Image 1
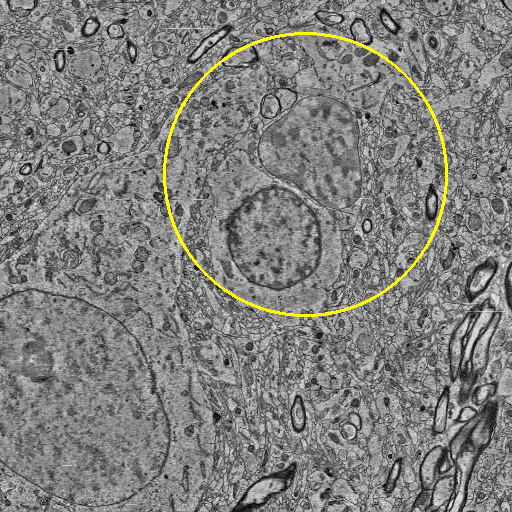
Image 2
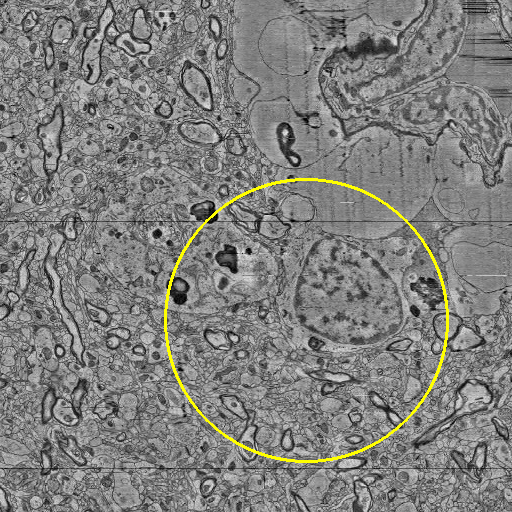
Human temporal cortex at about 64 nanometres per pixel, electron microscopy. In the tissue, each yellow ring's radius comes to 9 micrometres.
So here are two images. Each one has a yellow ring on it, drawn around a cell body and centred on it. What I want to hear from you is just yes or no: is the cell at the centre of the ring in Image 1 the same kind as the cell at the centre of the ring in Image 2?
yes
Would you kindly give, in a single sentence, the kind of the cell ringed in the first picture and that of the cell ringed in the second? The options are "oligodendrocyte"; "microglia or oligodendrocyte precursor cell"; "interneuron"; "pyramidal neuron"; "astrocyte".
Both the first and the second picture show a microglial cell or oligodendrocyte precursor cell in the ring.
